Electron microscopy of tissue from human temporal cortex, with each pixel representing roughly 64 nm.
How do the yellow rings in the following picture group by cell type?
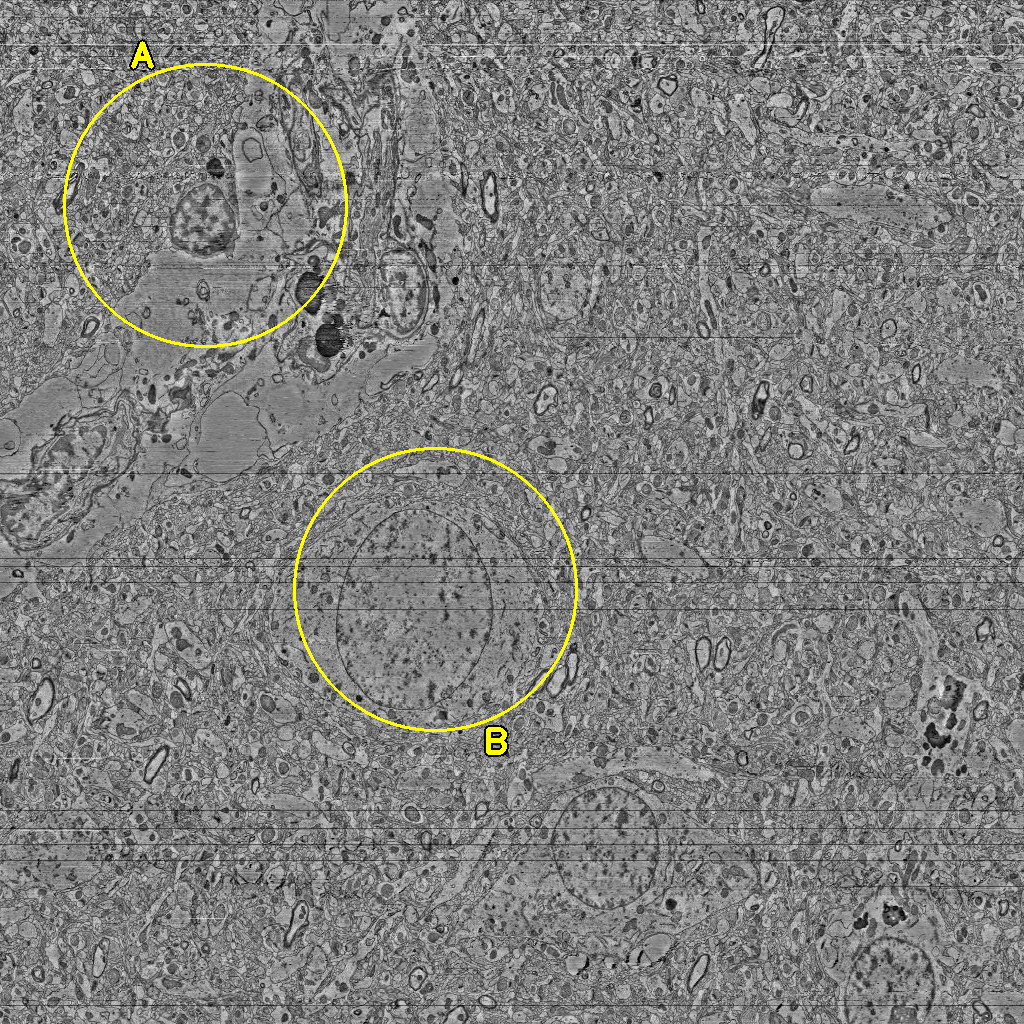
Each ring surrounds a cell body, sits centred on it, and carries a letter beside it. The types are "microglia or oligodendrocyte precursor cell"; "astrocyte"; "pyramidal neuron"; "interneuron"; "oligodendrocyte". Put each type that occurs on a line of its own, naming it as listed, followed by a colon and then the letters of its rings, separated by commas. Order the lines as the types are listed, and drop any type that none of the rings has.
pyramidal neuron: B
oligodendrocyte: A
